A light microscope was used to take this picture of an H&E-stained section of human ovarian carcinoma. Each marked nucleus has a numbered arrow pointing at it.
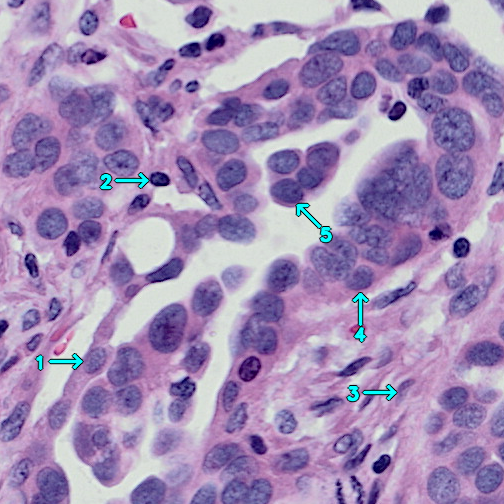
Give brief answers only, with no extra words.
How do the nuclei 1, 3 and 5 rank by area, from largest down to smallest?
5, 1, 3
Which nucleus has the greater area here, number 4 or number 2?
4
